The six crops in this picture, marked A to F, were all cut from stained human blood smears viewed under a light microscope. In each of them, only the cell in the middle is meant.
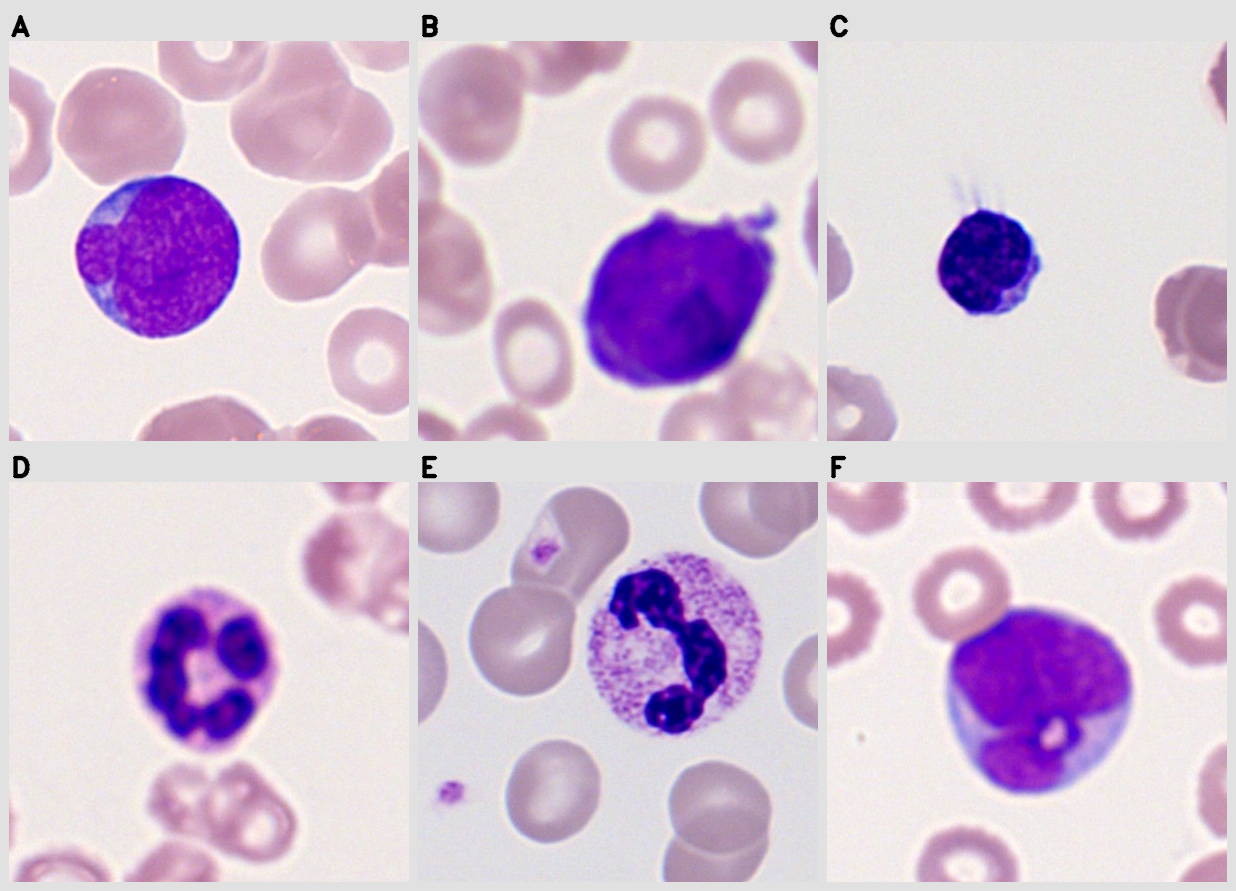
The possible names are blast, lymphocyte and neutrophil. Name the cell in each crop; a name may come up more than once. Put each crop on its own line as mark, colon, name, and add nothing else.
A: blast
B: blast
C: lymphocyte
D: neutrophil
E: neutrophil
F: blast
